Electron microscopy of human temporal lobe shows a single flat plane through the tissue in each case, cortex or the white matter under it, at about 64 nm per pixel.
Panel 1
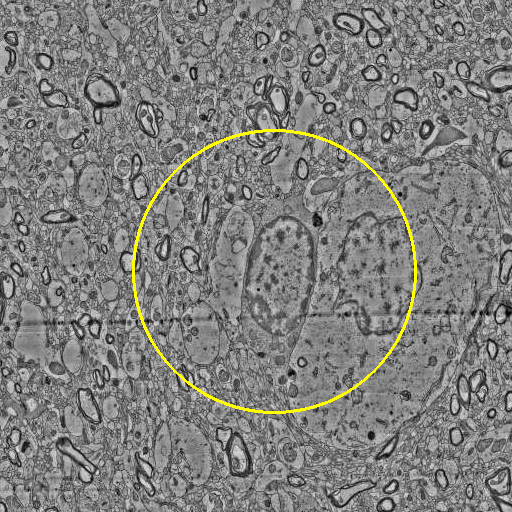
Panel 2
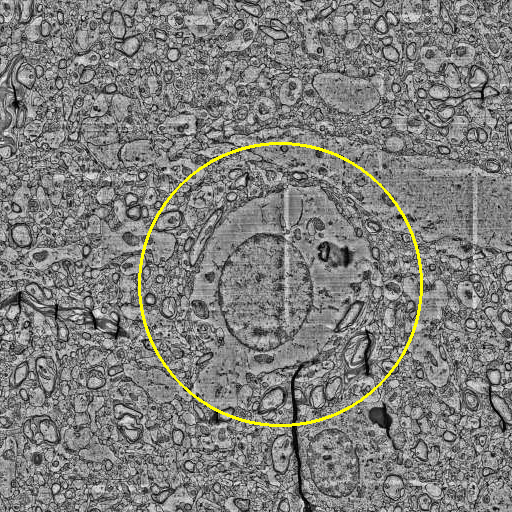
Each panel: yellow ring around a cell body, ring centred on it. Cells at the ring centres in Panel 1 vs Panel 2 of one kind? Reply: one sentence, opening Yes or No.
No, Panel 1 and Panel 2 have cells of two kinds at the ring centres.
